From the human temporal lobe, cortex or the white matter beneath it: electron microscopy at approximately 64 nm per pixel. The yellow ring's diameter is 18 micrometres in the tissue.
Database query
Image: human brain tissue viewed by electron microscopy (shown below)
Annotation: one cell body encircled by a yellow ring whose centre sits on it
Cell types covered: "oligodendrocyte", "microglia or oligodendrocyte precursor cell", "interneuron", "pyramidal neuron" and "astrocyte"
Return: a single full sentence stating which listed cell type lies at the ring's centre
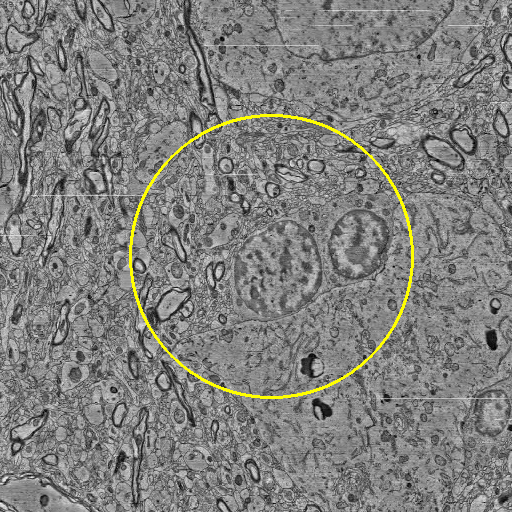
In the image, the cell lying at the ring's centre is a microglial cell or oligodendrocyte precursor cell.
